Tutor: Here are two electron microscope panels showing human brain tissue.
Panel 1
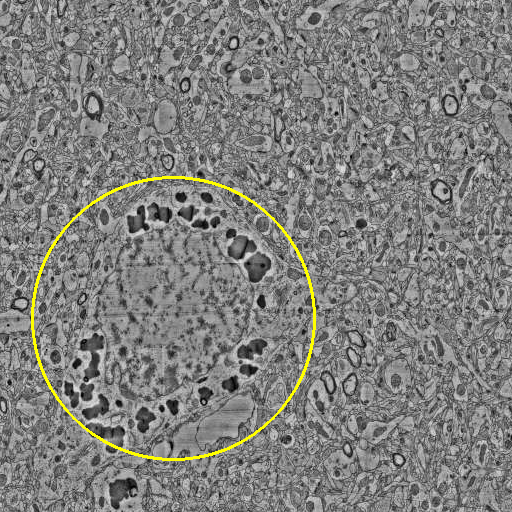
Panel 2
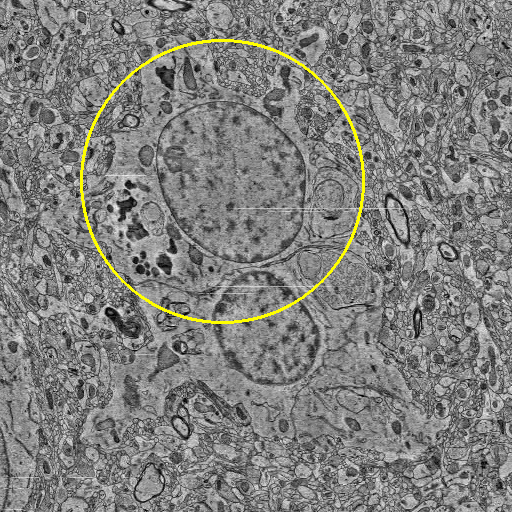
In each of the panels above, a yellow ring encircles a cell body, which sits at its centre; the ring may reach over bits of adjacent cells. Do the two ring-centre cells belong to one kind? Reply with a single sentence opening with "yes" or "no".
No, the two cells sitting at the ring centres in the panels belong to two kinds.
